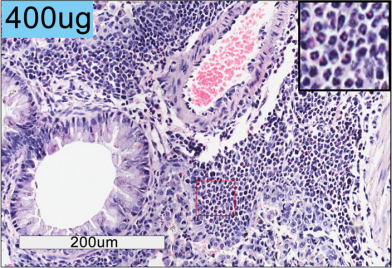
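The airway, at lower left, is lined by columnar epithelium with crowded nuclei. The vessel above holds many pink red blood cells. Around both, sheets of small round cells with dark purple nuclei and scant cytoplasm fill the tissue, packed so tightly that the normal alveolar spaces are largely replaced. The inset, enlarged from the red box, shows these closely packed round nuclei; a few cells have pinkish cytoplasm.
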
